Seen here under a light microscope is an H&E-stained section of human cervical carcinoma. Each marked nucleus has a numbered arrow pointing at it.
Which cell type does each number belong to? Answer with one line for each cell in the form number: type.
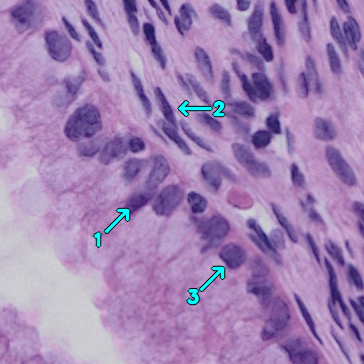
1: secretory epithelial cell
2: fibroblast
3: secretory epithelial cell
